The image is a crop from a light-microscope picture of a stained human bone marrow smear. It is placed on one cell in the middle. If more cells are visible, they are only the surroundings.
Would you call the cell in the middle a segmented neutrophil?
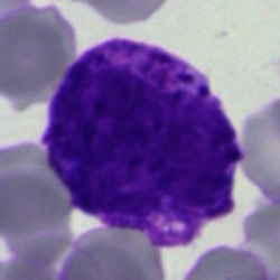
no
